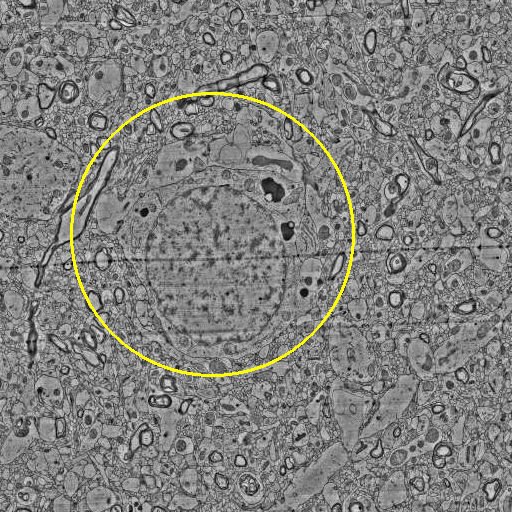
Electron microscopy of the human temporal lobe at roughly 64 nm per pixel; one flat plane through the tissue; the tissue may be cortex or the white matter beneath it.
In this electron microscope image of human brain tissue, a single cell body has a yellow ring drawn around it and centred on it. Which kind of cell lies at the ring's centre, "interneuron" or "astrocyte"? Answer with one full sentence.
It is an interneuron whose cell body lies at the centre of the yellow ring here.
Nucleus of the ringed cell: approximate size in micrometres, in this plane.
The ringed cell's nucleus is about 10 micrometres across in this plane.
